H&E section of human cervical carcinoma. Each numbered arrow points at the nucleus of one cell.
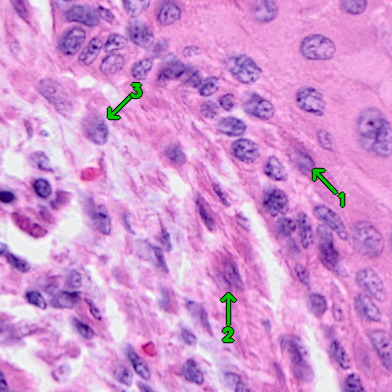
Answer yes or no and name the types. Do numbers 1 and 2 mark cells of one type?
No, cell 1 is a squamous carcinoma cell and cell 2 is a fibroblast.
